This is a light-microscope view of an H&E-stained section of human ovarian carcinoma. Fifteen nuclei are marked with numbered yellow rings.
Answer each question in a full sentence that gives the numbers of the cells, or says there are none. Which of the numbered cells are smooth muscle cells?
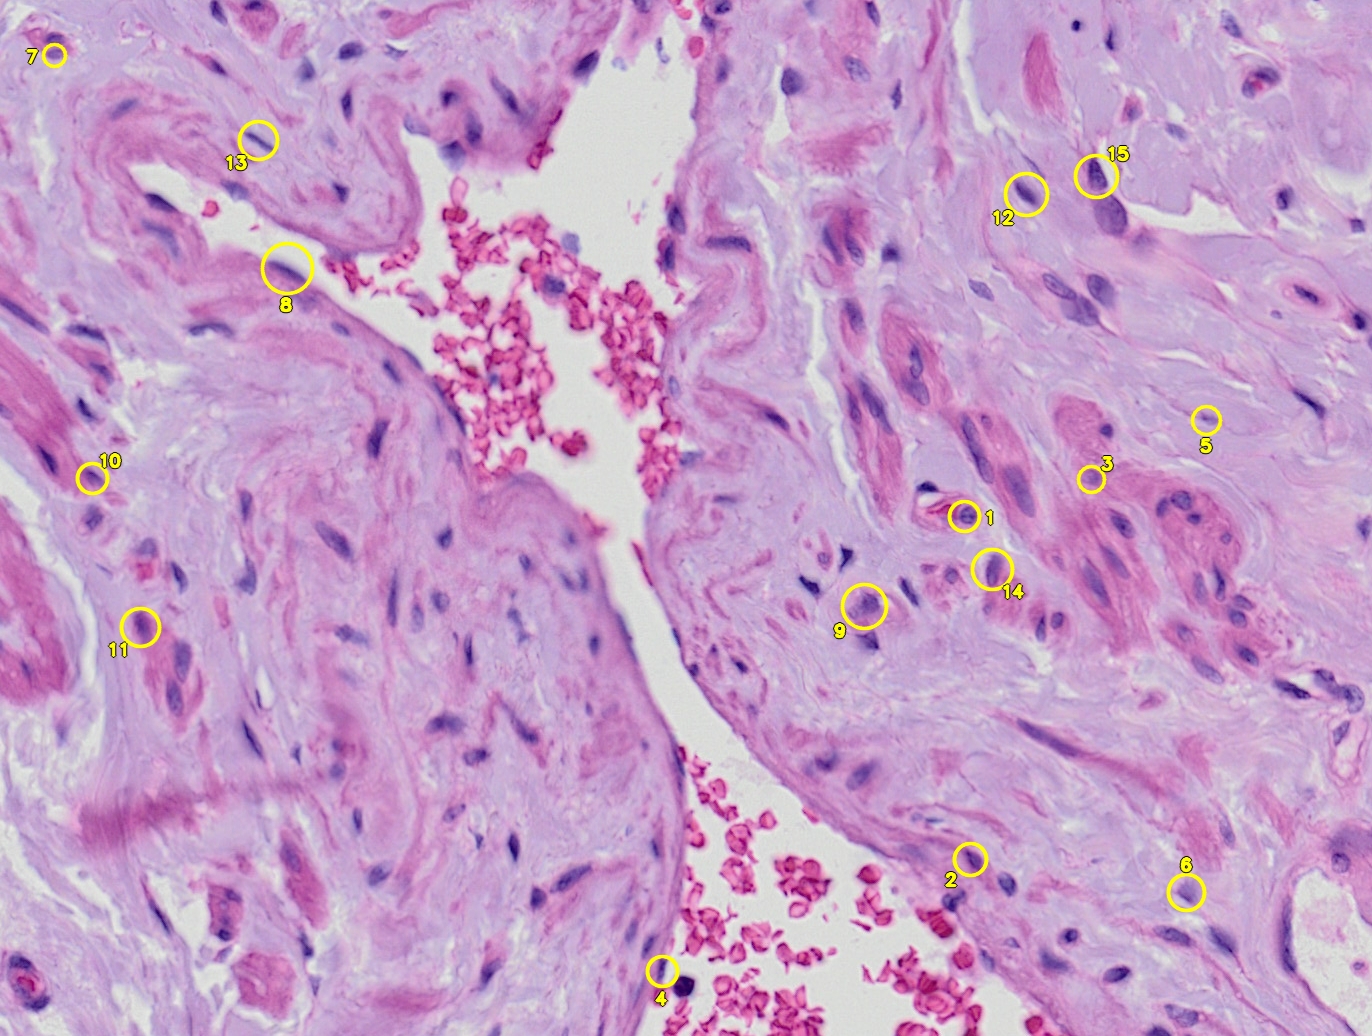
The cells given the numbers 2, 3, 7, 10, 11 and 14 are smooth muscle cells.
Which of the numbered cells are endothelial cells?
In short, the numbered cells 1, 4, 8, 9 and 15 are endothelial cells.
